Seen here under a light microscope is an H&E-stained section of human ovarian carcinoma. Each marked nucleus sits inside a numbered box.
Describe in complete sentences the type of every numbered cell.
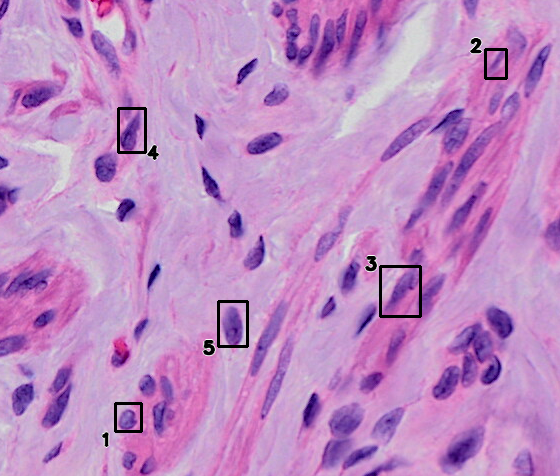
Cells 1, 2 and 3 are smooth muscle cells. Cell 4 is an endothelial cell. Cell 5 is a fibroblast.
